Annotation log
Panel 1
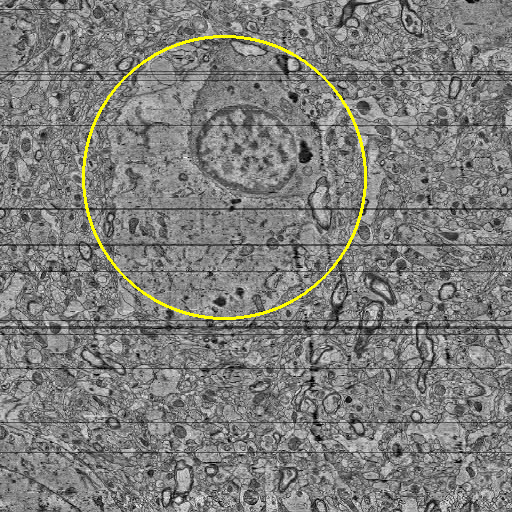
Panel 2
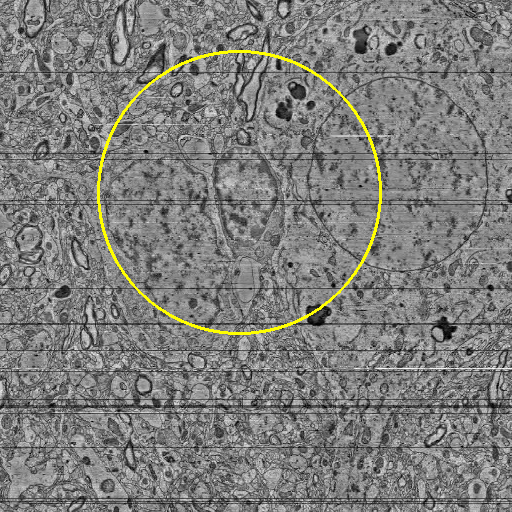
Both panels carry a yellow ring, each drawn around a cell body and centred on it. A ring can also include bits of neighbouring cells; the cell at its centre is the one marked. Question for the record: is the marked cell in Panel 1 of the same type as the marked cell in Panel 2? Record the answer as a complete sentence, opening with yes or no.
Yes, the marked cells in Panel 1 and Panel 2 are of the same type.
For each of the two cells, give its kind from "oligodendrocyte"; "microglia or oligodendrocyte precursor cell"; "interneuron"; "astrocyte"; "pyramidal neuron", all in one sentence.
In the first picture and in the second, the ring is centred on an oligodendrocyte.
